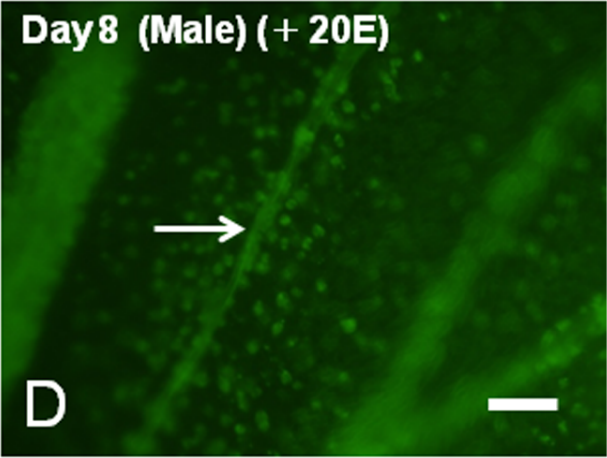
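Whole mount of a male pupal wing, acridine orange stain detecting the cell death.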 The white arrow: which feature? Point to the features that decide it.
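Trachea. The arrow points to a thin tube running diagonally across the field among scattered small dots.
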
